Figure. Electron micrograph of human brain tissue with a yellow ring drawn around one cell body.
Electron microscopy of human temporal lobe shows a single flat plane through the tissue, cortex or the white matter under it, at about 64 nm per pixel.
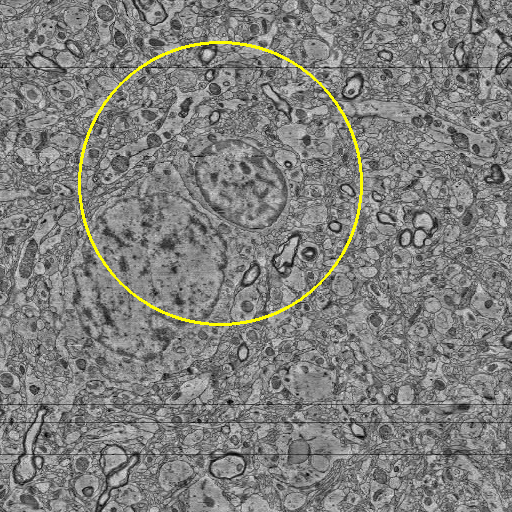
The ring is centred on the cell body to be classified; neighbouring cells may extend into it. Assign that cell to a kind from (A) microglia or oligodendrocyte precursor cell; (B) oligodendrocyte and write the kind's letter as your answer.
B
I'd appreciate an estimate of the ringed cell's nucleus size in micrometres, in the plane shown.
The nucleus is approximately 6 micrometers long by 5 micrometers wide in this plane.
